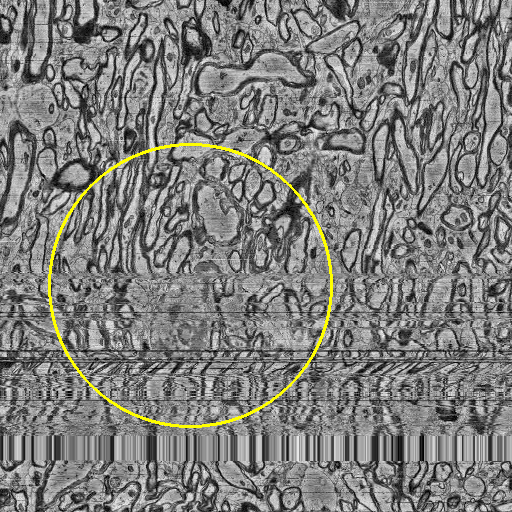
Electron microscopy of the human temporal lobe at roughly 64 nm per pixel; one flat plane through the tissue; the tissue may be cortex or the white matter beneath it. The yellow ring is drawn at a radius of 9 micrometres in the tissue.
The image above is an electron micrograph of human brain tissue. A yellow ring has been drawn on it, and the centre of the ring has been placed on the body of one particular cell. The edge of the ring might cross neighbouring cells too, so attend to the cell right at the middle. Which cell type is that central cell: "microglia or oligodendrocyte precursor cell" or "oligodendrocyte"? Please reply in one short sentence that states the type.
The central cell in the ring is a microglial cell or oligodendrocyte precursor cell.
